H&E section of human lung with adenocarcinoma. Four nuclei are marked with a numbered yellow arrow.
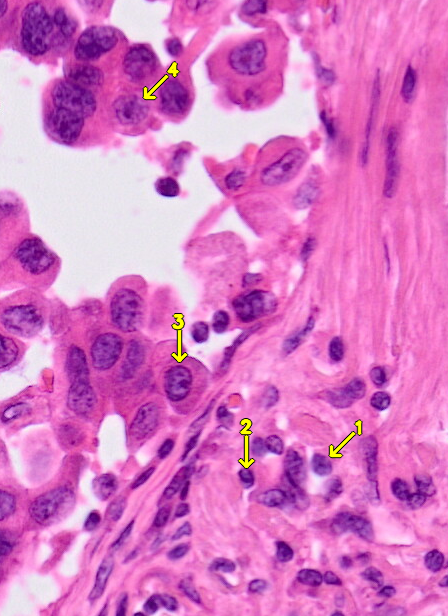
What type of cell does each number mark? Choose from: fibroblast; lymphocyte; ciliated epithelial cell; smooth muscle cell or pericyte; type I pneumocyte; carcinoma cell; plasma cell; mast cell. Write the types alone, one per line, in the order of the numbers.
lymphocyte
lymphocyte
carcinoma cell
carcinoma cell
